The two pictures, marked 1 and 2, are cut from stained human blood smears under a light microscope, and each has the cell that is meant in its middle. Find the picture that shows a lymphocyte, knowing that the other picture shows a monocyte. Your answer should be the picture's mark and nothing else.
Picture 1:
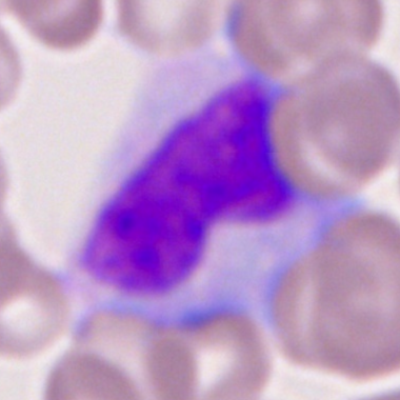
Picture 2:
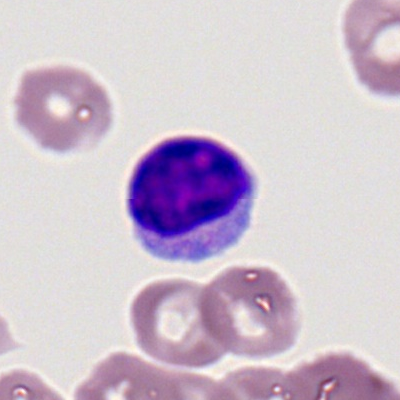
2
